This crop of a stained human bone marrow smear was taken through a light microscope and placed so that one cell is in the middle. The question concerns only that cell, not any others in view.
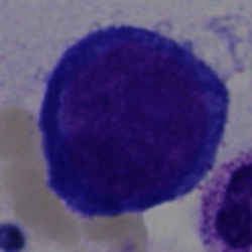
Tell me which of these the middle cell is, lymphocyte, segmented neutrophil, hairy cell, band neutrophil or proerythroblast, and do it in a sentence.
At the center of the crop sits a proerythroblast.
